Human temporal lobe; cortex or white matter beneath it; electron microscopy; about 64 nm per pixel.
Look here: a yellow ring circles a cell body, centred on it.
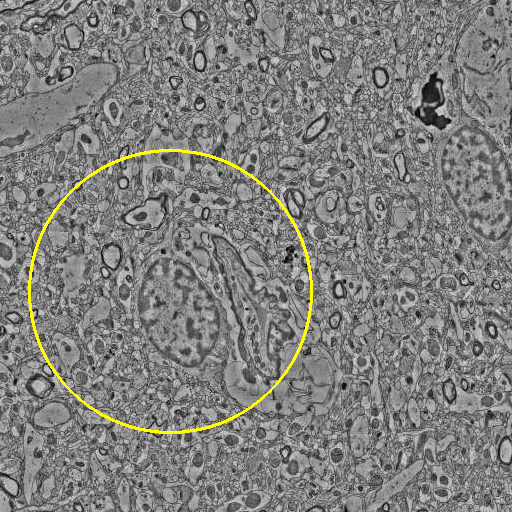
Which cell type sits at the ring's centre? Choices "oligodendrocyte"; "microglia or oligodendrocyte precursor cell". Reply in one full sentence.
The cell at the centre of the yellow ring in the picture is an oligodendrocyte.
